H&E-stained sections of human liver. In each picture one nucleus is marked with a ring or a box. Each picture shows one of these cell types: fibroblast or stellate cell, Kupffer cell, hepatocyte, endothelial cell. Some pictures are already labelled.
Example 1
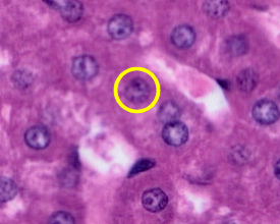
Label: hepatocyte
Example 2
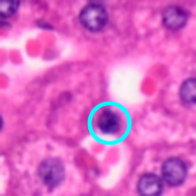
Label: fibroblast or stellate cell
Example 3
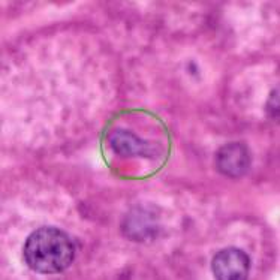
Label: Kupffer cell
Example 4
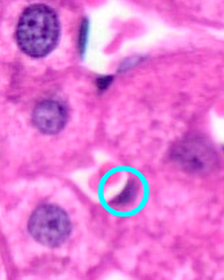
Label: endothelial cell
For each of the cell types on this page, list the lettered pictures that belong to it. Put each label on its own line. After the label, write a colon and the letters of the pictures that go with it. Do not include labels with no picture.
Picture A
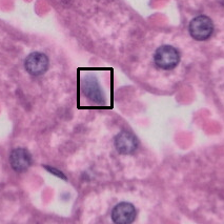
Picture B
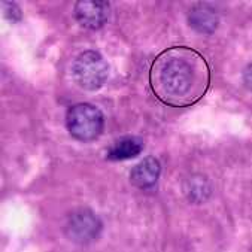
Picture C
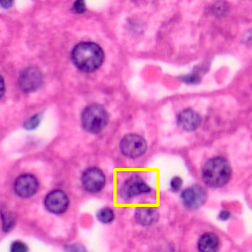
fibroblast or stellate cell: C
hepatocyte: B
endothelial cell: A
